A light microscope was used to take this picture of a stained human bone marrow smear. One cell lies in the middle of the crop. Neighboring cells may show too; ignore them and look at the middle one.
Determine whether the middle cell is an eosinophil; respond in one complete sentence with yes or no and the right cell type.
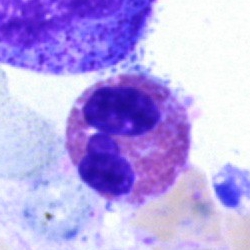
Yes, the cell at the middle of the frame is an eosinophil.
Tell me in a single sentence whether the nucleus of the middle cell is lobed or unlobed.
Its nucleus is lobed, with at least two separate segments.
